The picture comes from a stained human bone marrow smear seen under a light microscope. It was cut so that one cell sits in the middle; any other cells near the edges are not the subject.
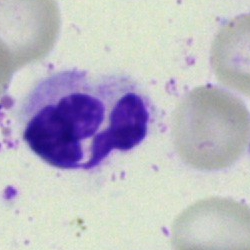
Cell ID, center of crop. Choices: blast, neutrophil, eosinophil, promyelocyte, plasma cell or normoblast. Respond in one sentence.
The central cell in this smear crop is a neutrophil.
